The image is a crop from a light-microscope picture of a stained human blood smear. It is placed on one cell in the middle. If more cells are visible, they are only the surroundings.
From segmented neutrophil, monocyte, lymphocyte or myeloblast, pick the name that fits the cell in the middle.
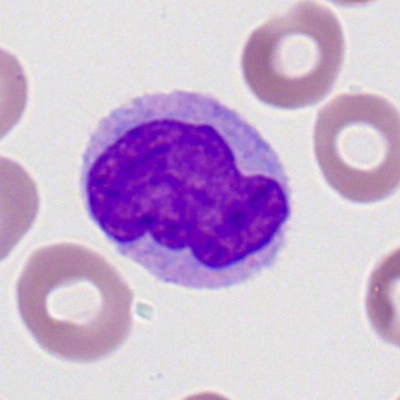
monocyte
